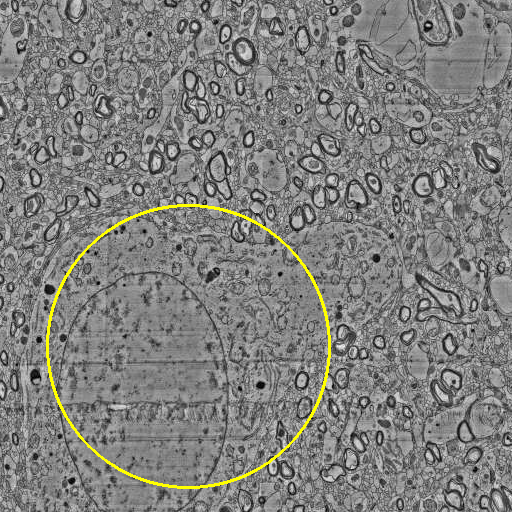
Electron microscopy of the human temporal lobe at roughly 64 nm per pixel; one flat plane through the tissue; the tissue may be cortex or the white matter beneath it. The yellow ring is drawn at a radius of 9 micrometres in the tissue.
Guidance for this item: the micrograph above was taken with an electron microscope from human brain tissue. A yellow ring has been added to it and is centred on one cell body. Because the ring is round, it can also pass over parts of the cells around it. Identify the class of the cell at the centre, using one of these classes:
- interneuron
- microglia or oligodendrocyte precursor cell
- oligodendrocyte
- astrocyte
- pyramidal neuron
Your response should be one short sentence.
The ring surrounds the body of a pyramidal neuron.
